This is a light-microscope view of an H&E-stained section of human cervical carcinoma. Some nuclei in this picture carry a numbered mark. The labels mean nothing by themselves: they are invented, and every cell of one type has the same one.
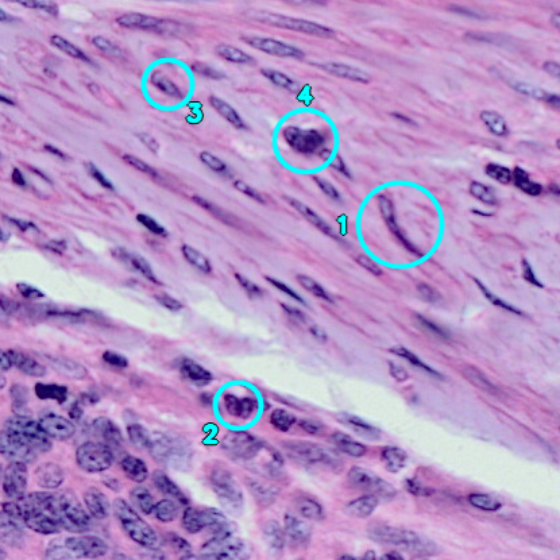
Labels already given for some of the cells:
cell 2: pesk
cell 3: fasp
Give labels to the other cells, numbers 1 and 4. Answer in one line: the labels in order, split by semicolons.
fasp; pesk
